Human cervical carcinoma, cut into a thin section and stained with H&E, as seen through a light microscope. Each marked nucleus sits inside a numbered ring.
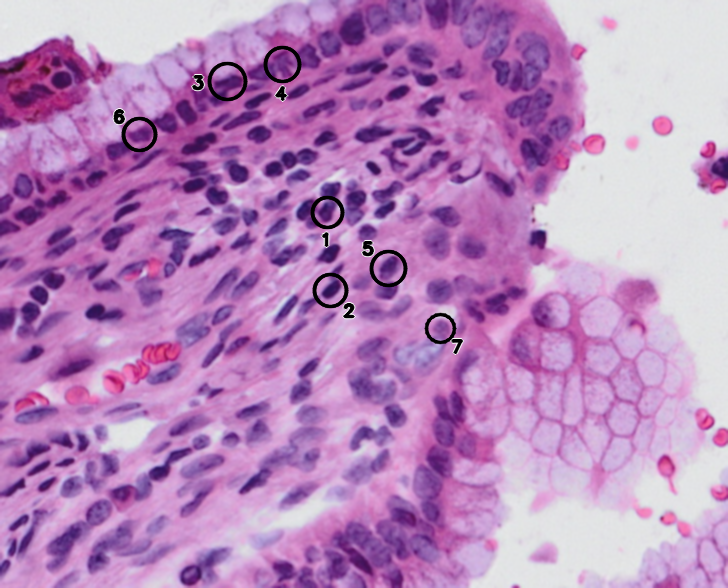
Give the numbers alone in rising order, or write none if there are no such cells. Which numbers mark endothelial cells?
7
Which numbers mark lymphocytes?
1, 2, 5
